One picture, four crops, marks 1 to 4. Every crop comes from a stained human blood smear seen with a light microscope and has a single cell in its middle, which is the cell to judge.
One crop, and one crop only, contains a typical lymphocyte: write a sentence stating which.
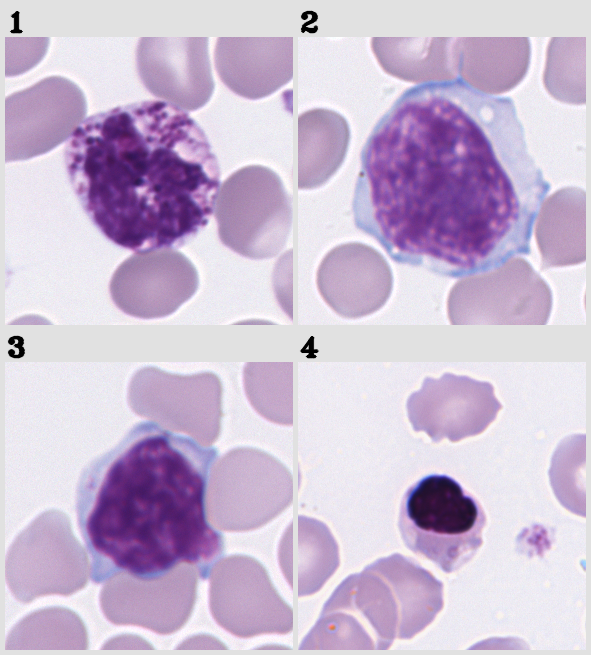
Among the crops given, only crop 3 shows a typical lymphocyte.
